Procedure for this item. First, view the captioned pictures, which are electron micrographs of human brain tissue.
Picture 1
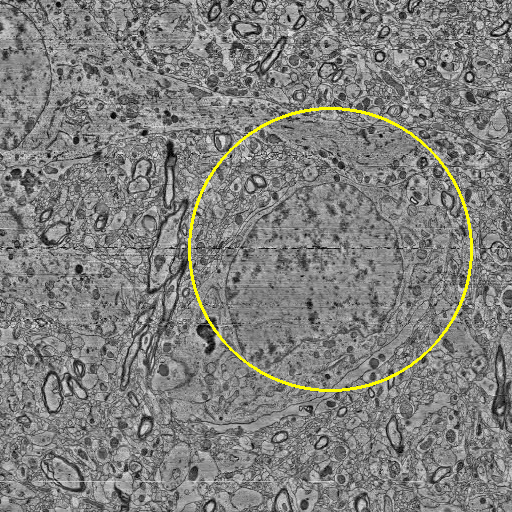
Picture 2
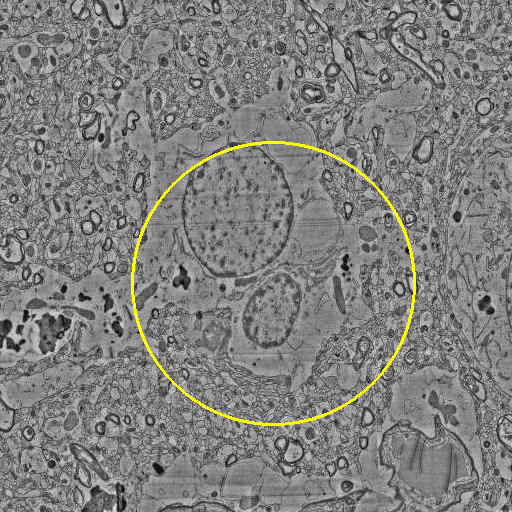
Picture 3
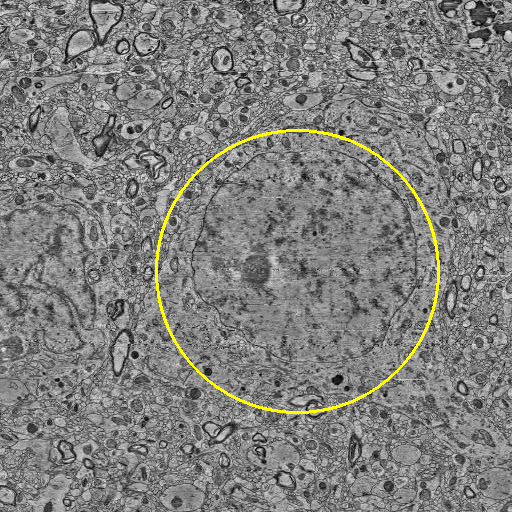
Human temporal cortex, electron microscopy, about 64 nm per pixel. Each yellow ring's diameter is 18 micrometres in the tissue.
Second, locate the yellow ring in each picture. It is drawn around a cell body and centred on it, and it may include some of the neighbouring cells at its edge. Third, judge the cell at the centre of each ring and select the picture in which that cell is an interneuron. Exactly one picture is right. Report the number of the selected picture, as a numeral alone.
1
